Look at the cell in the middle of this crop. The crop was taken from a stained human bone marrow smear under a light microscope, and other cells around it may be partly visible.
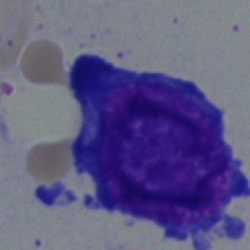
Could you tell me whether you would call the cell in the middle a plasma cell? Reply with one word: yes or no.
no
